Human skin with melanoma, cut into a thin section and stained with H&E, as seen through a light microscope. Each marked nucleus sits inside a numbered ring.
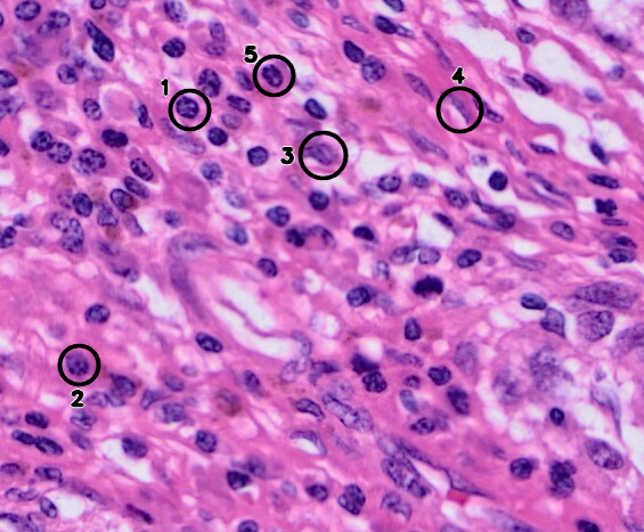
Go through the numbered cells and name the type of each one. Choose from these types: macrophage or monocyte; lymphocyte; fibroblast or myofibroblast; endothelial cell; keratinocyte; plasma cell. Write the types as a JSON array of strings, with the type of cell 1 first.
["plasma cell", "plasma cell", "macrophage or monocyte", "fibroblast or myofibroblast", "plasma cell"]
